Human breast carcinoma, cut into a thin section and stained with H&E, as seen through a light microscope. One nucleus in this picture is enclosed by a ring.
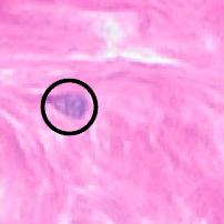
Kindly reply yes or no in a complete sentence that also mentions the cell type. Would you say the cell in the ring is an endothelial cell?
No, in this section the cell in the ring is a fibroblast and not an endothelial cell.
